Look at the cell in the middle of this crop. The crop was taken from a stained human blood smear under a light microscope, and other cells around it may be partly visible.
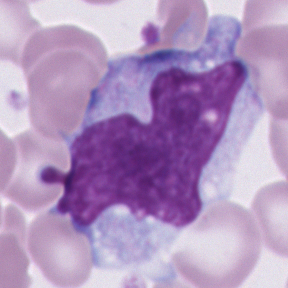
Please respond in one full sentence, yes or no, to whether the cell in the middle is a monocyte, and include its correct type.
Yes, the central cell is to be recorded as a monocyte.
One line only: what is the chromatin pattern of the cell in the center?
The chromatin here is fine and lacks any coarse clumps.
